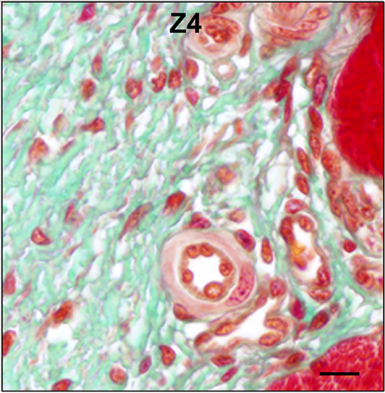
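This is connective tissue in which green-stained collagen fibres form a dense meshwork around many scattered cells. The cell nuclei stain red and are mostly elongated or oval, lying between the fibres and often aligned with them. Several small round vessel profiles appear in cross-section, each with a wall of pink-stained cells around a small clear lumen. At the right edge lie large, uniformly deep red-stained masses. The collagen fibres are fine to moderately thick and run in varying directions with small clear gaps between them.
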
